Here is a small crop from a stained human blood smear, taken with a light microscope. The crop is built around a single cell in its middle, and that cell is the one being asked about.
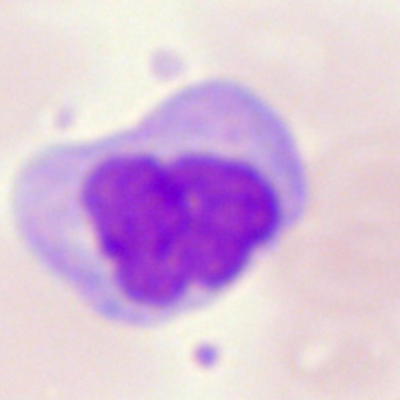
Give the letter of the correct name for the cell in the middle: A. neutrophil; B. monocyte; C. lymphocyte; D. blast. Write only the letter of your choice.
B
